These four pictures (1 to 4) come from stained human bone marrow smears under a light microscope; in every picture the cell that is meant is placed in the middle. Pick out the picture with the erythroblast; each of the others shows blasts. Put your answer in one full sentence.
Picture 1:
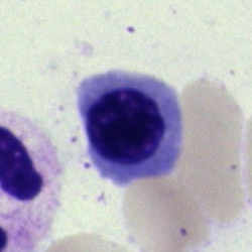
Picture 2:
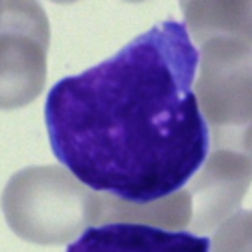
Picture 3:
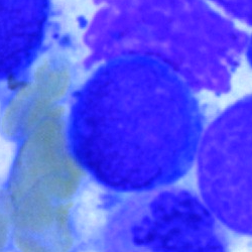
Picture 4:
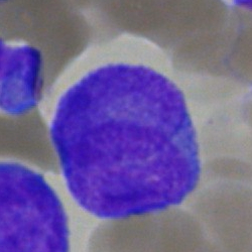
The picture with the erythroblast is 1.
